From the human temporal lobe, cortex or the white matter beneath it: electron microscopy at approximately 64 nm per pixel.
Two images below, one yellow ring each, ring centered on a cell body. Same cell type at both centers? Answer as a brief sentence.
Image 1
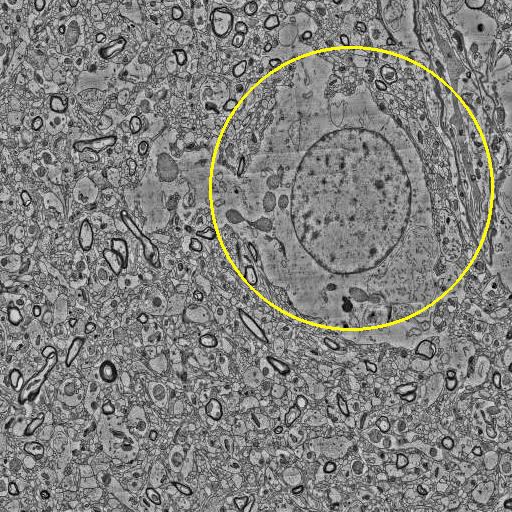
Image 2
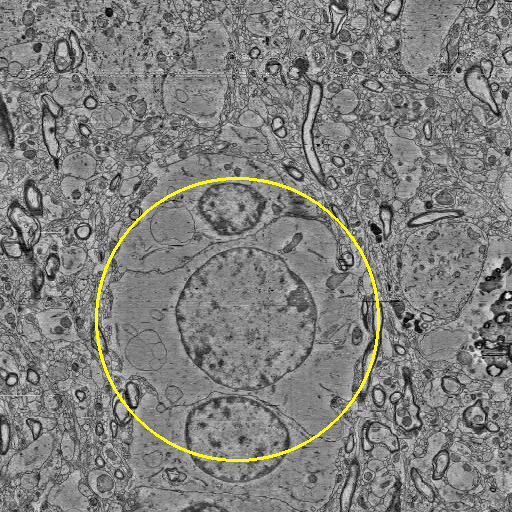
Yes, both cells are of the same type.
